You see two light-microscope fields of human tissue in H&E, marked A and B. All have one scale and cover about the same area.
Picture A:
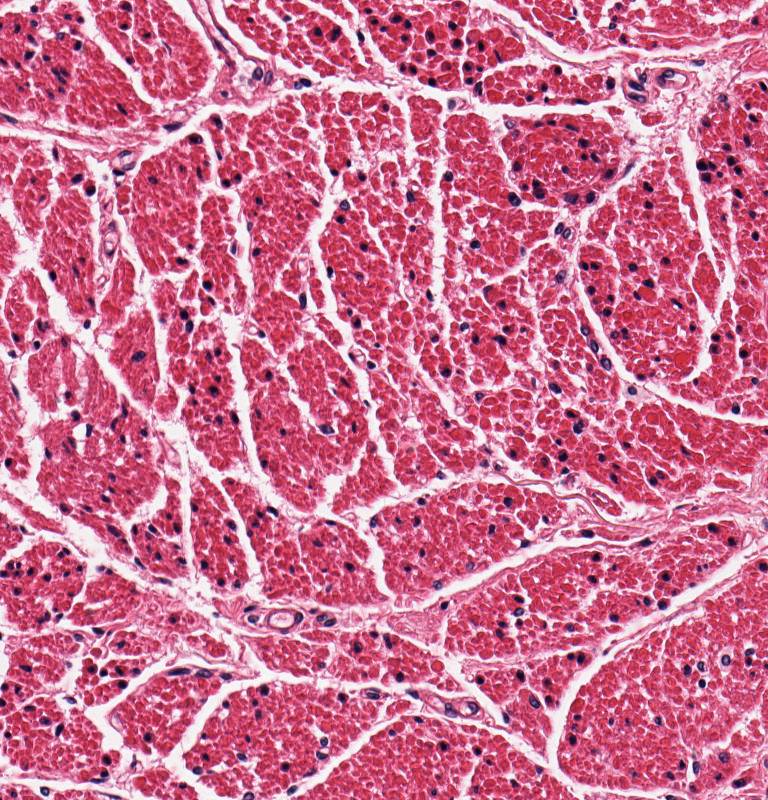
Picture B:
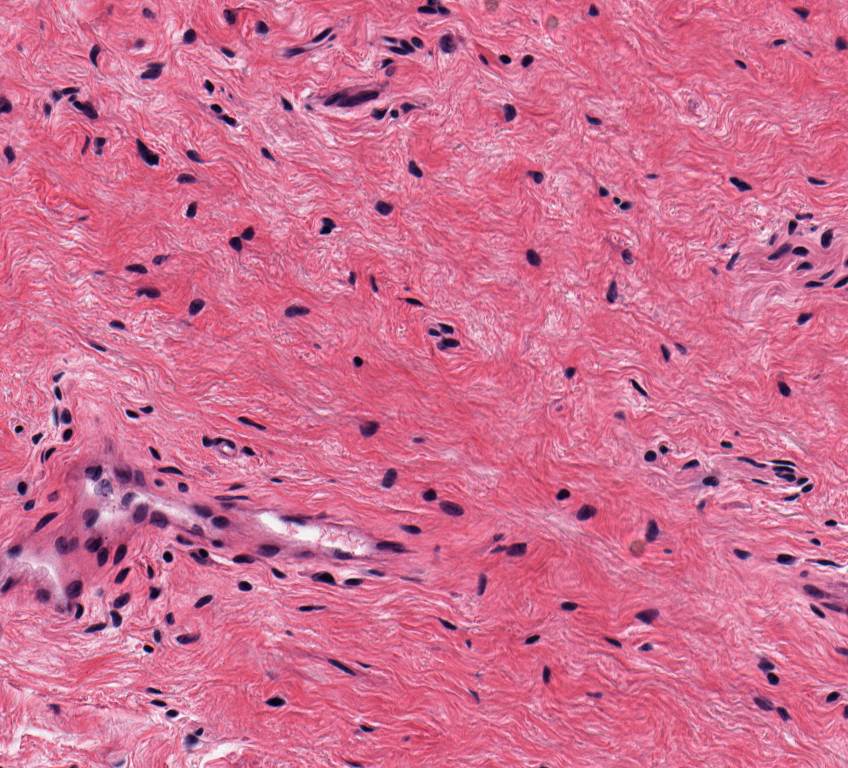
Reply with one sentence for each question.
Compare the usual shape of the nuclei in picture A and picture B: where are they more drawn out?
The nuclei are more elongated in picture B.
